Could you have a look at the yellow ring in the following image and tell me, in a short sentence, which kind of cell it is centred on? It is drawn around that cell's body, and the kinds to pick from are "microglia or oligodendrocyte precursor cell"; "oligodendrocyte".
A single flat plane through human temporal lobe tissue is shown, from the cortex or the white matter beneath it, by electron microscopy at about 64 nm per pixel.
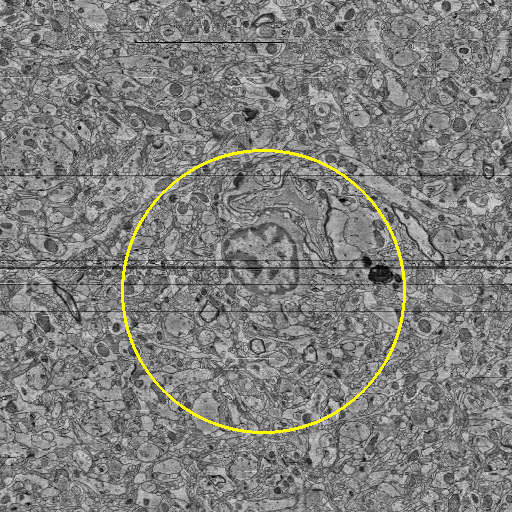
The ring is centred on the body of an oligodendrocyte.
